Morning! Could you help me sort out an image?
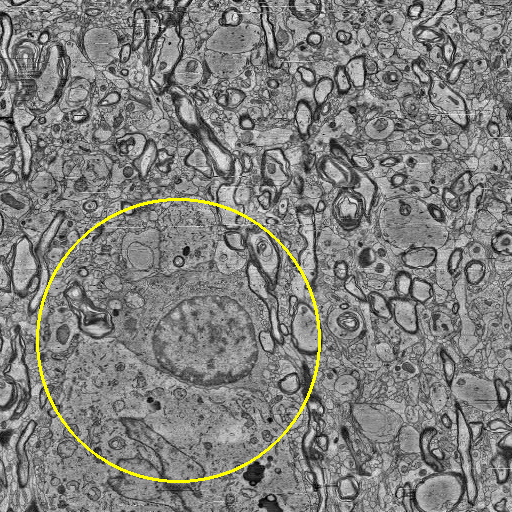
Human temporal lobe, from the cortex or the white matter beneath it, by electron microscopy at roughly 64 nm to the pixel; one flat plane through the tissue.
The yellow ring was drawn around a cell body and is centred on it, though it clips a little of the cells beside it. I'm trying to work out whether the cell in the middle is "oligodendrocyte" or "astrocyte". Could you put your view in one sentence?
The ringed cell body is that of an oligodendrocyte.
